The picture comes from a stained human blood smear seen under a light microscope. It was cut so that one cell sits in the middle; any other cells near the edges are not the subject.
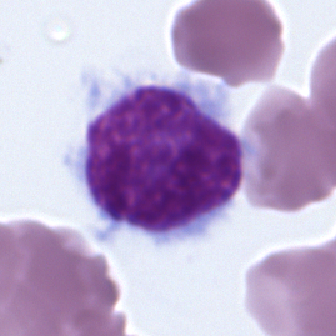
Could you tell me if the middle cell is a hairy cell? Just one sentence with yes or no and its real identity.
Yes, the central cell of this crop corresponds to a hairy cell.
